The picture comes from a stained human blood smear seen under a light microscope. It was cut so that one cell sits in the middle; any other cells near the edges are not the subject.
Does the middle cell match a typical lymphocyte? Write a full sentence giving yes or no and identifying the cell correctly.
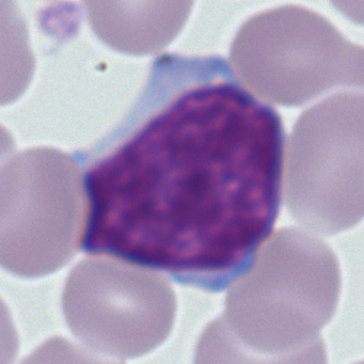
Yes, the cell in the middle is recognised as a typical lymphocyte.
